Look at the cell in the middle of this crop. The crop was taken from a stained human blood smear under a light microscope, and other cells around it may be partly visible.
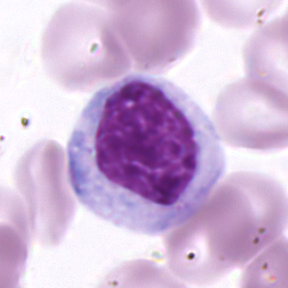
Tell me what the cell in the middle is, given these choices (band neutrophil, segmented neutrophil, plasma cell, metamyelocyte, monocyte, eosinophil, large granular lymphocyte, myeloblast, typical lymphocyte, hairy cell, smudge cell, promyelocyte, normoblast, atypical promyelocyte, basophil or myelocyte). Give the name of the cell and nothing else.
metamyelocyte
